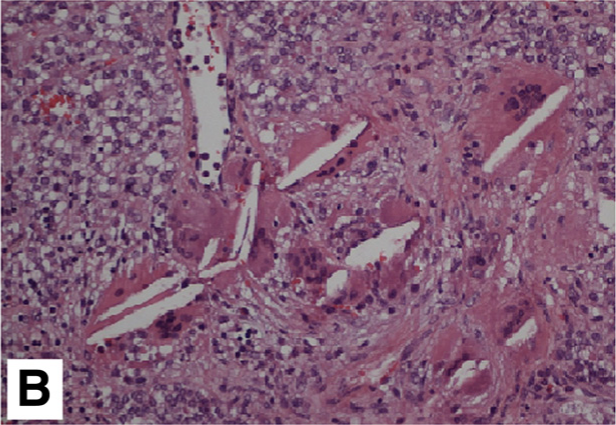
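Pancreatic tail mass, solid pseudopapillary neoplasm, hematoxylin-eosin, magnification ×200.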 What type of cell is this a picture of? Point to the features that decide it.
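Large cells with pink cytoplasm and several clustered nuclei lie against the clefts. These multinucleated cells are grouped in the center around the clefts.
Foreign-body giant cells.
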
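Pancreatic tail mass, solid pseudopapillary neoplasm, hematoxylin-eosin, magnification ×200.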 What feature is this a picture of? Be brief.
Cholesterol crystals.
